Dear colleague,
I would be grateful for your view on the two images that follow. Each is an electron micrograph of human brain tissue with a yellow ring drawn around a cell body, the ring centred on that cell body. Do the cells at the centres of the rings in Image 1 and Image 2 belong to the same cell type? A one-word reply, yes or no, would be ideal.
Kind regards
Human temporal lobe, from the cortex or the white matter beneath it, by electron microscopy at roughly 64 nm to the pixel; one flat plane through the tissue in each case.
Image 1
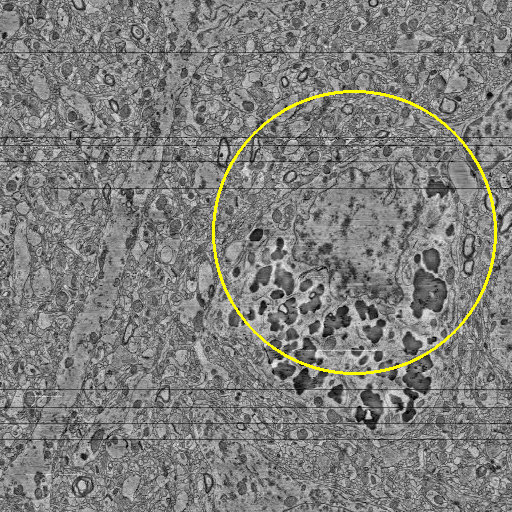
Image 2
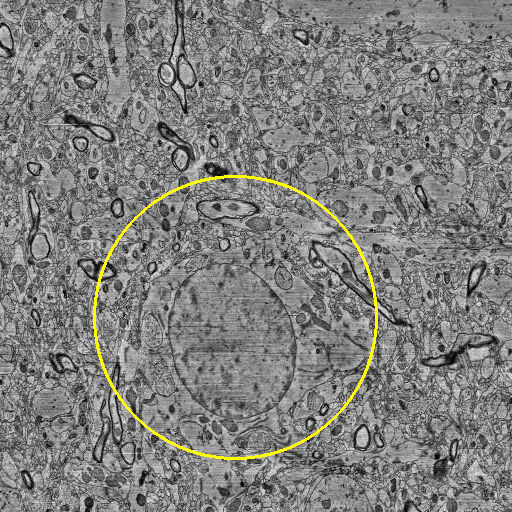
no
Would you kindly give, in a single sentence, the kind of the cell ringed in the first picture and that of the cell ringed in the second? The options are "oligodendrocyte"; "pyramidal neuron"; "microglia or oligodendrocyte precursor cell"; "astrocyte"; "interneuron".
The second cell is an astrocyte, and the first cell is an interneuron.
